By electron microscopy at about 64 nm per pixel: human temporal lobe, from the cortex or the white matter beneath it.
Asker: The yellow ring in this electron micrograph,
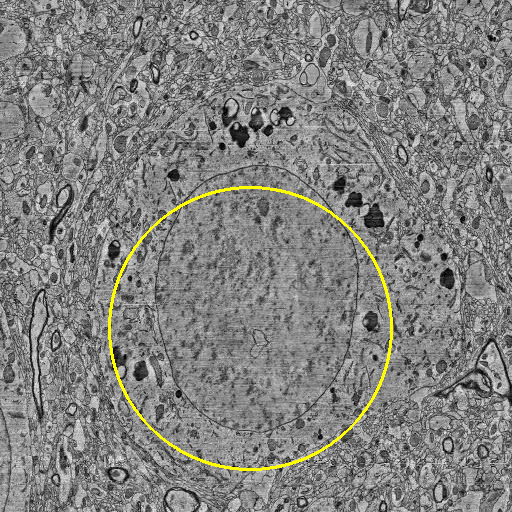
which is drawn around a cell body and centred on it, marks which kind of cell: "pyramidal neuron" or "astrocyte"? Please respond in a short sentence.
The marked cell is a pyramidal neuron.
